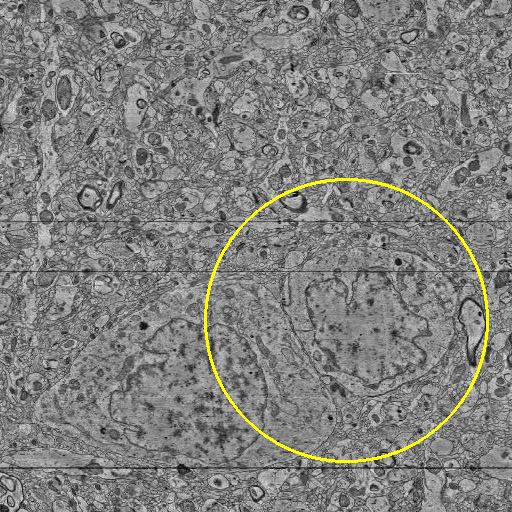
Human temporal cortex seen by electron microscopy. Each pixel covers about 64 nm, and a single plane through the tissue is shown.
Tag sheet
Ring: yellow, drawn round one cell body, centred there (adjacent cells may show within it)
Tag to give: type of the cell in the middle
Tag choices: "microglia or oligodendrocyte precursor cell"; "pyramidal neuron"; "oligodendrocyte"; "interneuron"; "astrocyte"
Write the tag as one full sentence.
I tag the cell centred in the yellow ring as an interneuron in this picture.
